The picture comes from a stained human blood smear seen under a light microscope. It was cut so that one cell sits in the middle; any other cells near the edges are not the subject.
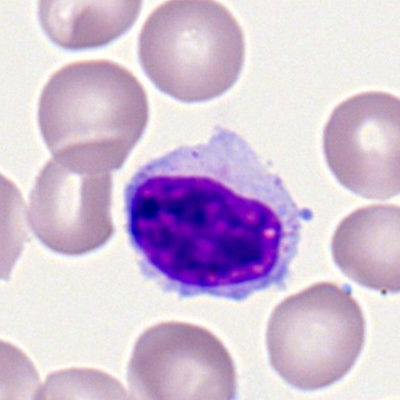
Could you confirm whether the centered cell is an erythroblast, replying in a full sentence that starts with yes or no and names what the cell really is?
No, the middle cell is not an erythroblast, it being a lymphocyte.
